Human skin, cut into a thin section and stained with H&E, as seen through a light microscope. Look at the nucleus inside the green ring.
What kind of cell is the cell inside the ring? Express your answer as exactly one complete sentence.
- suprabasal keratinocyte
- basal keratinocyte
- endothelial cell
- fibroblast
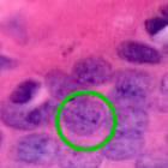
In the stained section, the cell inside the ring is a basal keratinocyte.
